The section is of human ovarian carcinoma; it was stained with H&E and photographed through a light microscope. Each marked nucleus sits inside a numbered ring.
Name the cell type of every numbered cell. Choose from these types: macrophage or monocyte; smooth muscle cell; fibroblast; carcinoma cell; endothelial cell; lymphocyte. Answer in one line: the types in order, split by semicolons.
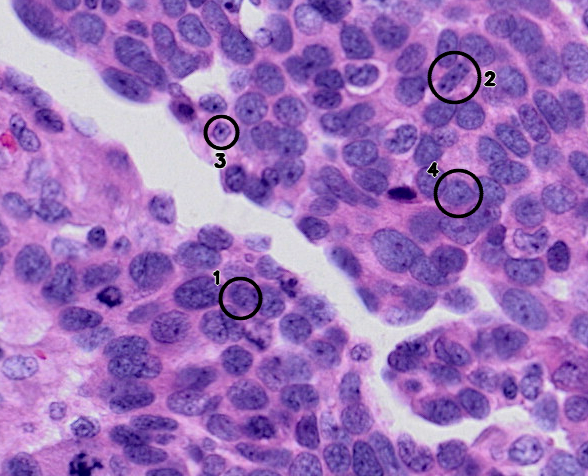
carcinoma cell; macrophage or monocyte; macrophage or monocyte; carcinoma cell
